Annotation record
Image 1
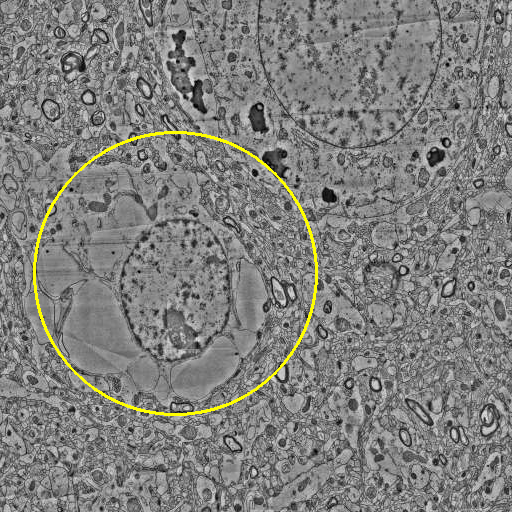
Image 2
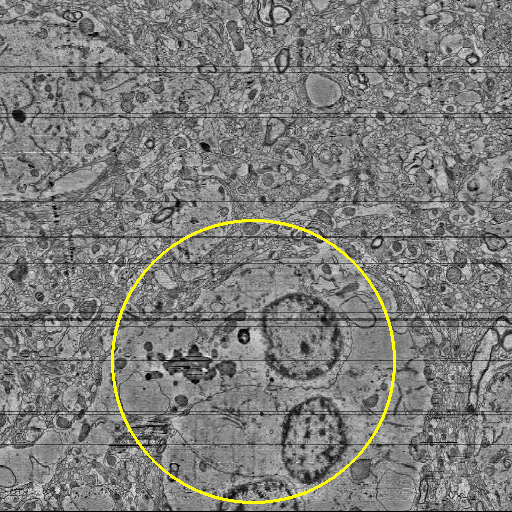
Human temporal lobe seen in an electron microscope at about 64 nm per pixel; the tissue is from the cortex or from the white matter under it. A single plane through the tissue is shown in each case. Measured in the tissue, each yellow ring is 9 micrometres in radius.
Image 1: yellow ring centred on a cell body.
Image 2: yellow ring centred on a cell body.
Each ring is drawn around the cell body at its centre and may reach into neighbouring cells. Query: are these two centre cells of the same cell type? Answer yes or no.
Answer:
yes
